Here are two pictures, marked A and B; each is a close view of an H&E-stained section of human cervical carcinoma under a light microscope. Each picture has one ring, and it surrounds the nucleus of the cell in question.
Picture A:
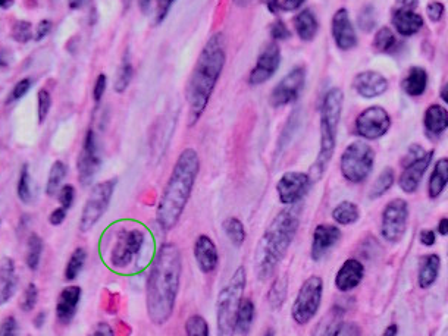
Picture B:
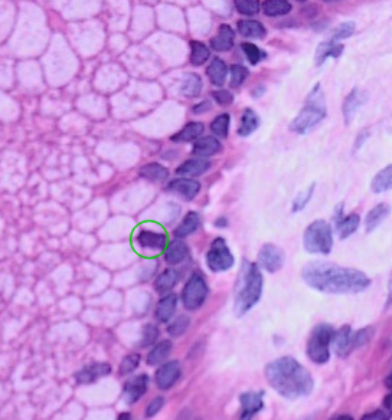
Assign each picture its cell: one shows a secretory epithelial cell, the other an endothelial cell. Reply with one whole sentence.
It is picture A that shows an endothelial cell, and picture B that shows a secretory epithelial cell.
